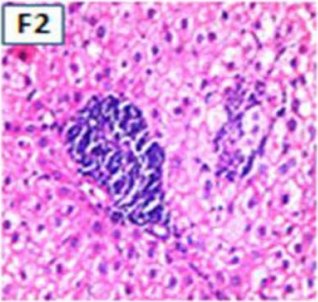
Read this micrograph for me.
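This liver section shows hepatocytes with pale, finely foamy cytoplasm and round nuclei, together with focal collections of inflammatory cells. The largest collection is a compact cluster of small, densely packed dark-blue nuclei on the left of the field. A smaller, looser cluster of dark nuclei lies to its right, separated by pale cells. The hepatocytes around them are polygonal with lightly stained, vacuolated-looking cytoplasm, and large clear fat vacuoles are not seen.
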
